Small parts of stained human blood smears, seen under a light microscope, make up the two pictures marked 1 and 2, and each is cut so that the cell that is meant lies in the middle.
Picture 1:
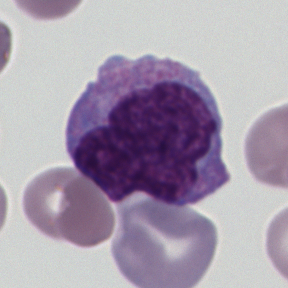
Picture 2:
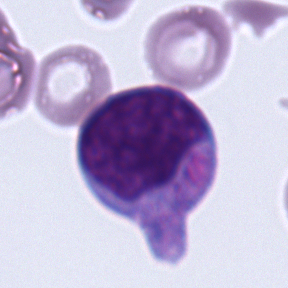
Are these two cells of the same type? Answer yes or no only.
yes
